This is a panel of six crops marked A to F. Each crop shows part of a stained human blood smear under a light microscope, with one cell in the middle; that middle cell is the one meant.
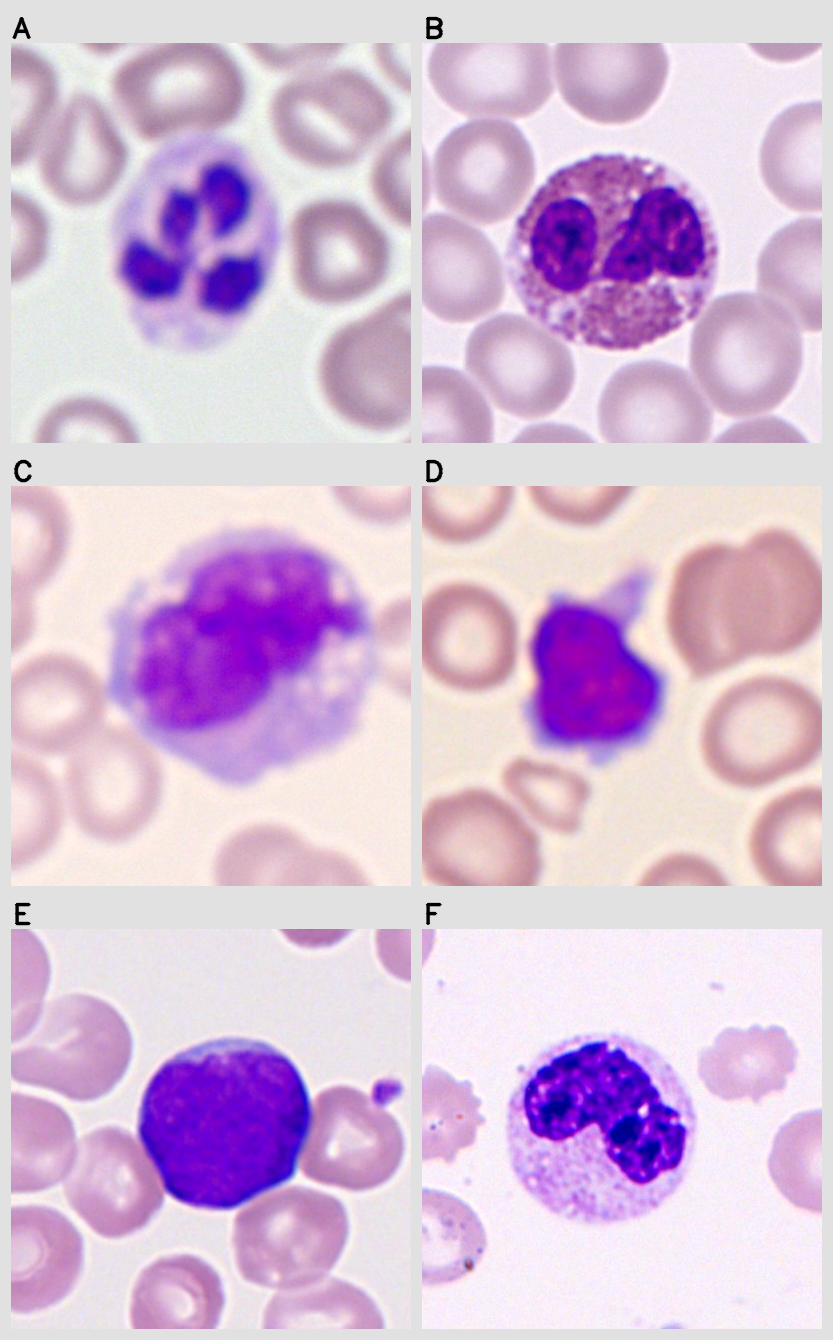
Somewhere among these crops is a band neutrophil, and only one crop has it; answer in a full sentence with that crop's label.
Identified crop: F, the one that shows a band neutrophil.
